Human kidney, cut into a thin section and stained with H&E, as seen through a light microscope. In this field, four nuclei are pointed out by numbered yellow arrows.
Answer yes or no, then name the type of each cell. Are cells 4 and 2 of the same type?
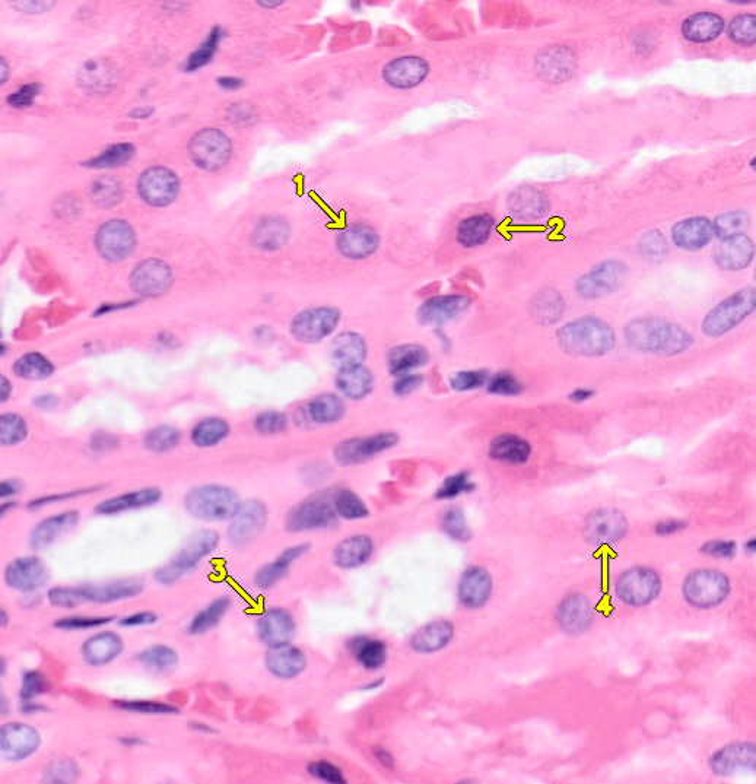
Yes, cells 4 and 2 both belong among the proximal tubule cells.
